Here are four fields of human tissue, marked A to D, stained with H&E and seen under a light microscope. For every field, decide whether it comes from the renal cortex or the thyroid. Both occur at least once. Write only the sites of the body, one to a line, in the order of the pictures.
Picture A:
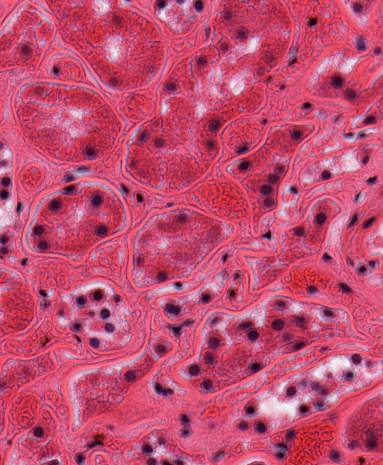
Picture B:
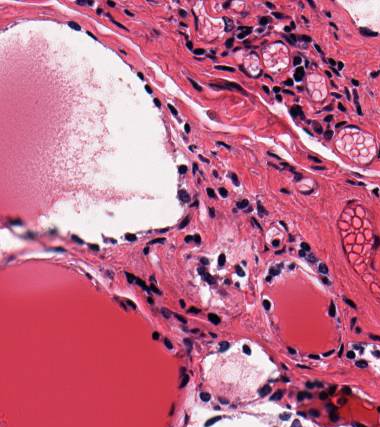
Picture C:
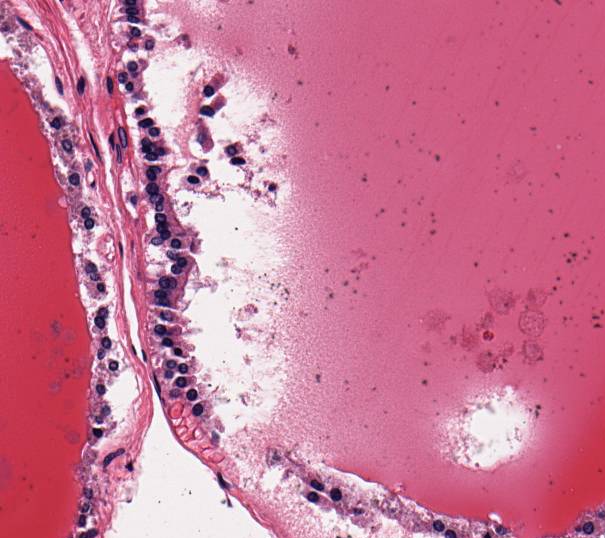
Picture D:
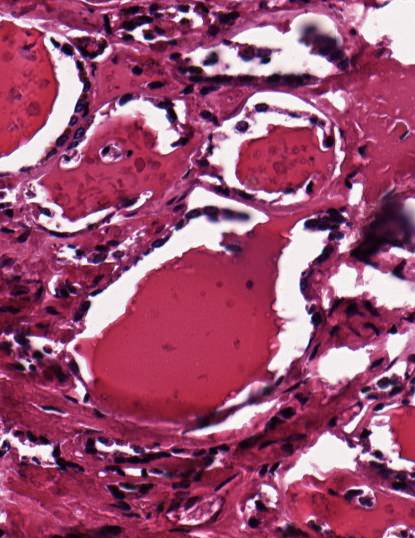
renal cortex
thyroid
thyroid
thyroid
